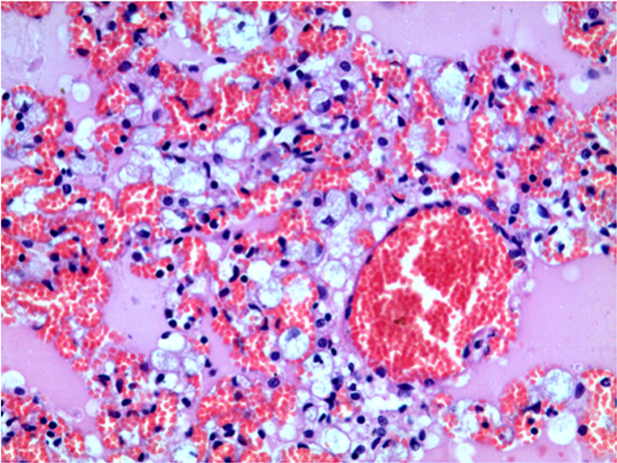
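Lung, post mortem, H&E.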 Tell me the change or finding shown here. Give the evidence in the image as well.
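A large vessel is packed with red blood cells. That points to this answer: congestion.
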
